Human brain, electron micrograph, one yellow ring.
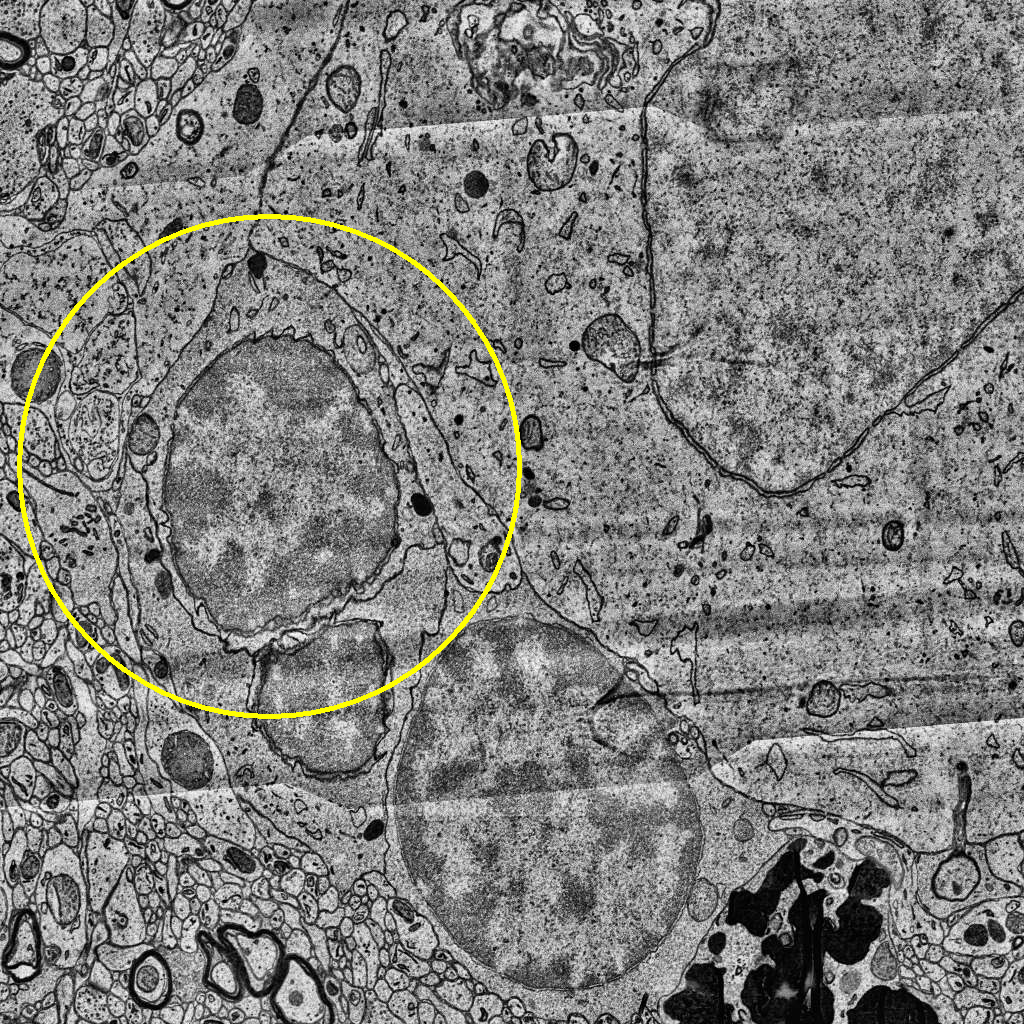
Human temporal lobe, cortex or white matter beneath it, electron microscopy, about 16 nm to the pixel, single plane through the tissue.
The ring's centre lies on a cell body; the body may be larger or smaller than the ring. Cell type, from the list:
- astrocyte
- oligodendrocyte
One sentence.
The yellow ring's centre lies on an oligodendrocyte.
